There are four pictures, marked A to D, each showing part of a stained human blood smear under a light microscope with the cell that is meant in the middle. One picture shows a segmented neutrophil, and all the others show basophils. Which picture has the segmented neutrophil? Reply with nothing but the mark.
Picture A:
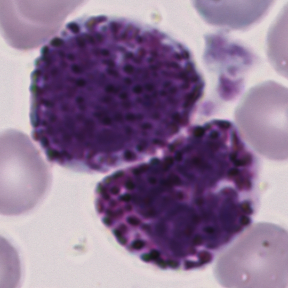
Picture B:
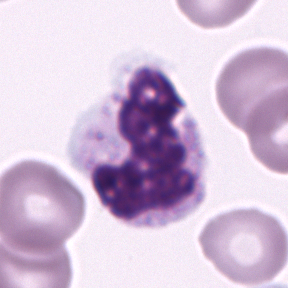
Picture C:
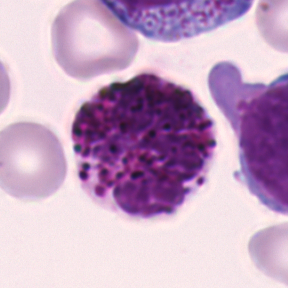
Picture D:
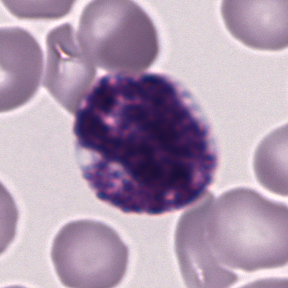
B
